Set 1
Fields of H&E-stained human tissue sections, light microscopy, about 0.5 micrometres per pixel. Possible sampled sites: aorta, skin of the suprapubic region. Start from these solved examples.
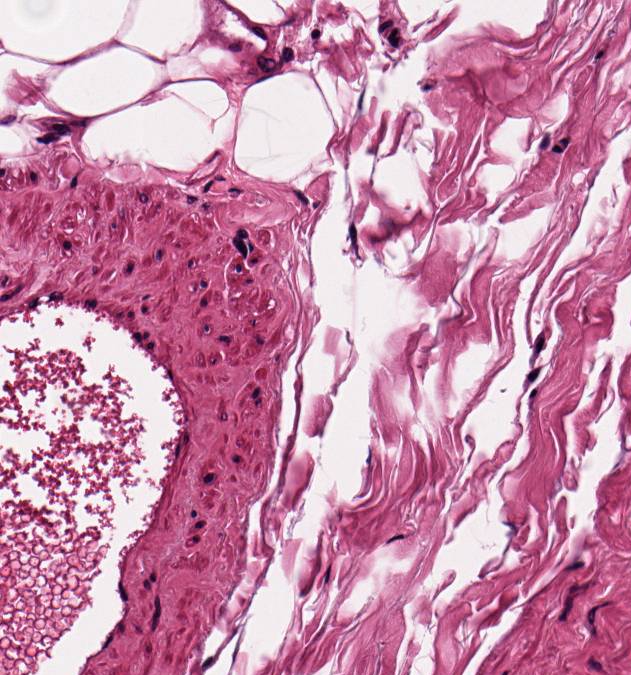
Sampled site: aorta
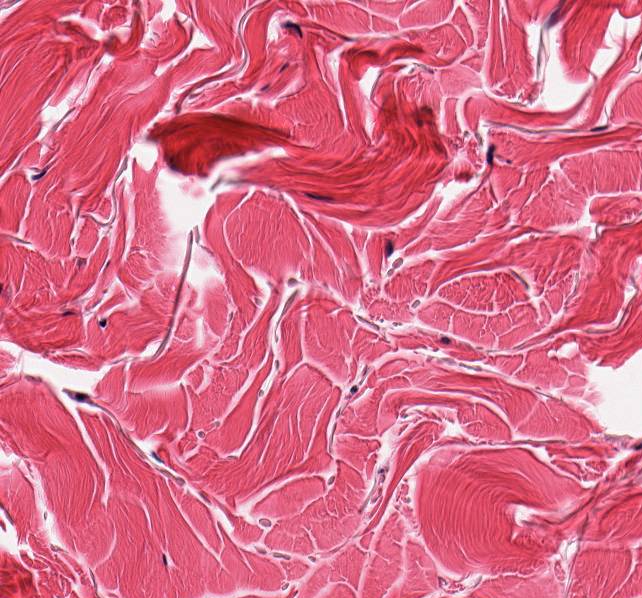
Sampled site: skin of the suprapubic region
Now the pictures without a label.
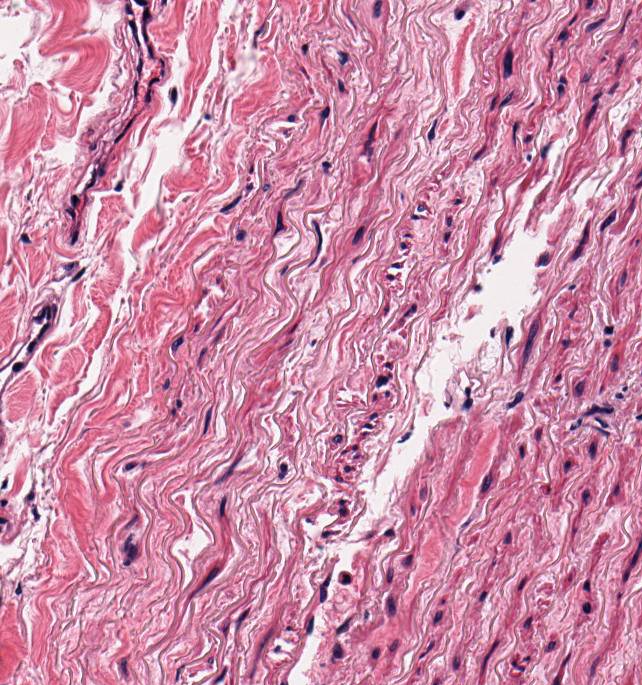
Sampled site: aorta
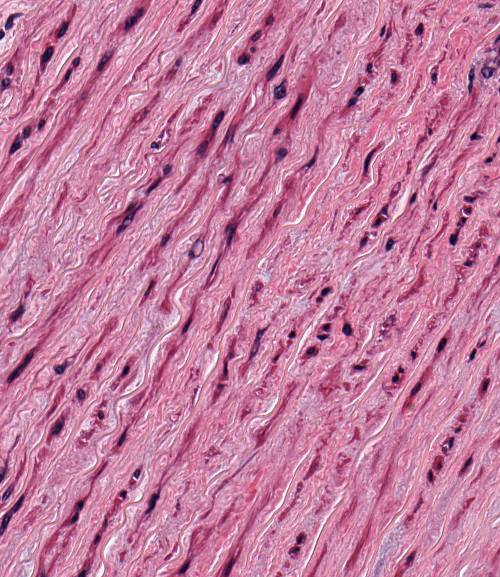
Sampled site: aorta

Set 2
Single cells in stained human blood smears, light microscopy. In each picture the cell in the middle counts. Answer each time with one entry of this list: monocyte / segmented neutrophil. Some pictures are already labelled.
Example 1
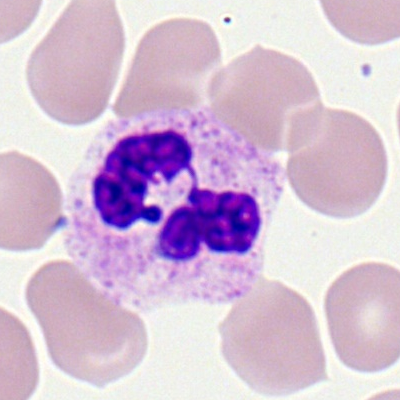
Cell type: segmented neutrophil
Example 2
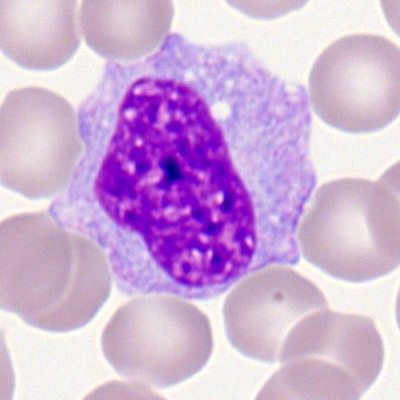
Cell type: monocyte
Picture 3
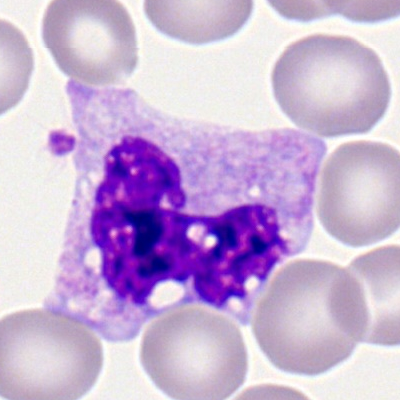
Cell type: monocyte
